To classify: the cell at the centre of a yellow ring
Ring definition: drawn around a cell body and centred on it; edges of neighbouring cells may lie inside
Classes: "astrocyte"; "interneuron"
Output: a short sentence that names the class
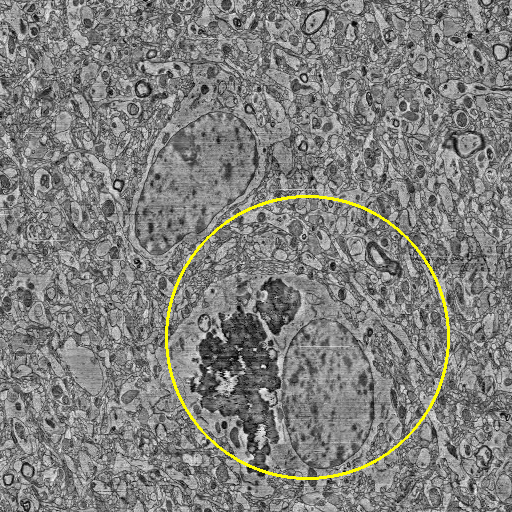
The ringed cell is an astrocyte.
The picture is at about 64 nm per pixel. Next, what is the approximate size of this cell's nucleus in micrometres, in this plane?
The ringed cell's nucleus is roughly 10 by 6 micrometres and clearly longer than it is wide in this plane.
